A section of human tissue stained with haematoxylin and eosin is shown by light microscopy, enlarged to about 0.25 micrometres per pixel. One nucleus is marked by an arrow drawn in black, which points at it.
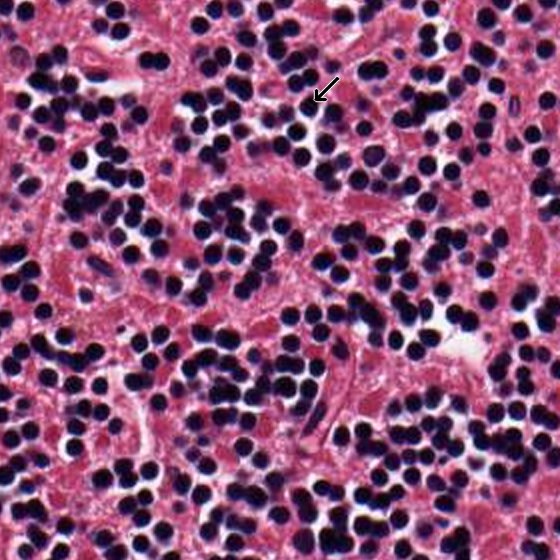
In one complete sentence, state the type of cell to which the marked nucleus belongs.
The marked nucleus is one that belongs to a cerebellar granule cell.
